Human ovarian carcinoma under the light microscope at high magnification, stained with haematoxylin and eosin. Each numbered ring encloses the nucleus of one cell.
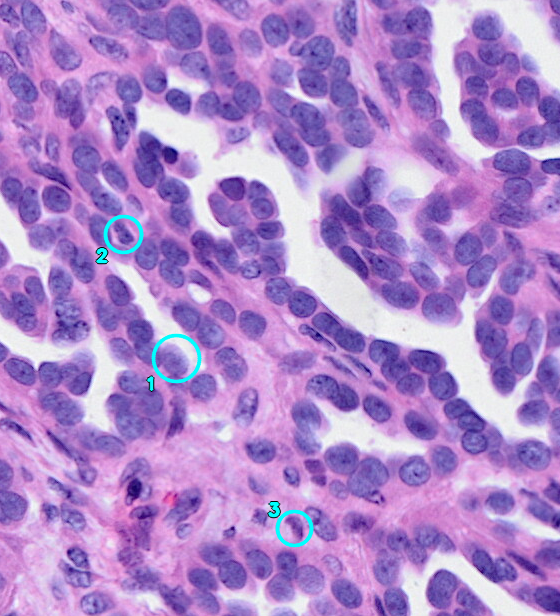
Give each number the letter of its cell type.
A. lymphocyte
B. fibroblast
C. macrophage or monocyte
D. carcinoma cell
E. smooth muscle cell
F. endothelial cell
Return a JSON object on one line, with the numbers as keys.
{"1": "D", "2": "C", "3": "B"}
